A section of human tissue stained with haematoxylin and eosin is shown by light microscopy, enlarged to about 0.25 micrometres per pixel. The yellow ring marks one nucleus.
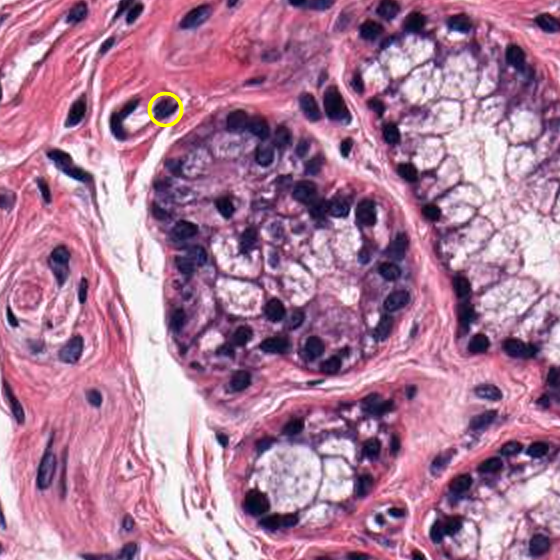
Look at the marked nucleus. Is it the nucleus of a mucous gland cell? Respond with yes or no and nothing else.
no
